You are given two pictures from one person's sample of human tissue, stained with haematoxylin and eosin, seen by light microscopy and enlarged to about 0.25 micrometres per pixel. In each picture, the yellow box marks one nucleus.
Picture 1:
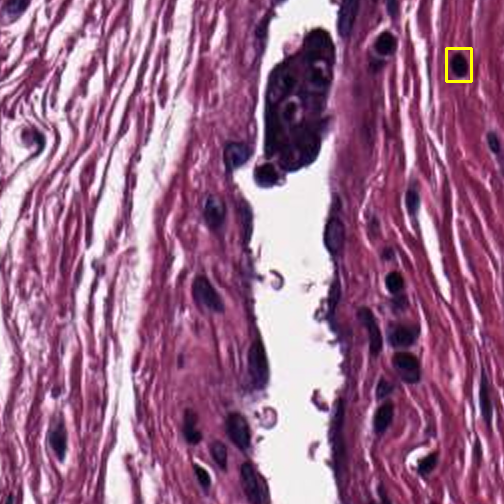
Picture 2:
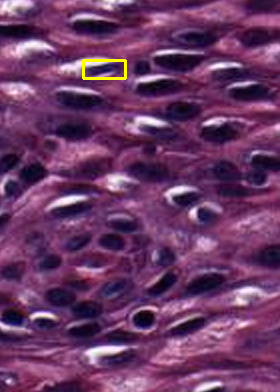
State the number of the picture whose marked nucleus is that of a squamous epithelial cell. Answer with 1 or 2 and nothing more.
2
